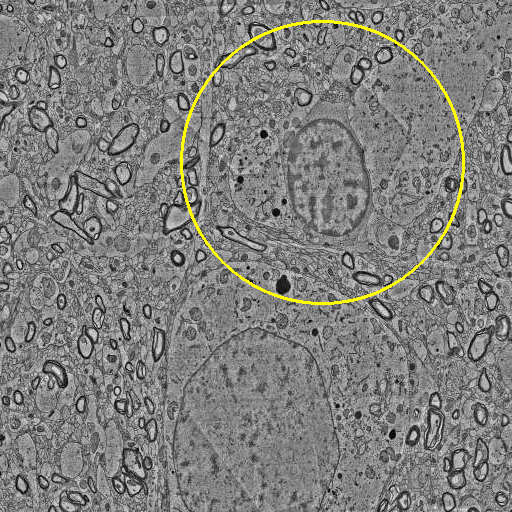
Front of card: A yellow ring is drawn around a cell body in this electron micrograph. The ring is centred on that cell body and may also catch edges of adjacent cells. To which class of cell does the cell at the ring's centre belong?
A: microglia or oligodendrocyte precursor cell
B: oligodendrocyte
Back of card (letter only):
B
